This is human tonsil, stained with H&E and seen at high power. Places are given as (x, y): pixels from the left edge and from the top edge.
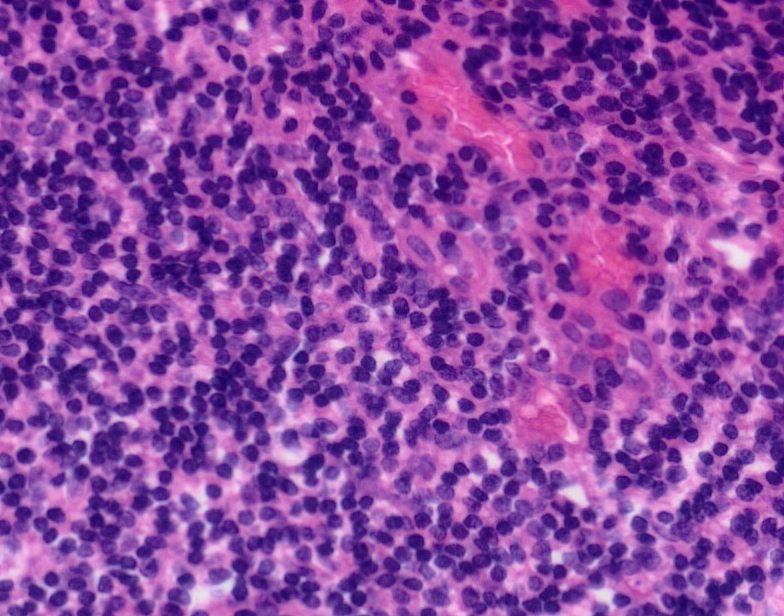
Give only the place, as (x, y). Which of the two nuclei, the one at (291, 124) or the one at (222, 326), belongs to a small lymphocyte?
(222, 326)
